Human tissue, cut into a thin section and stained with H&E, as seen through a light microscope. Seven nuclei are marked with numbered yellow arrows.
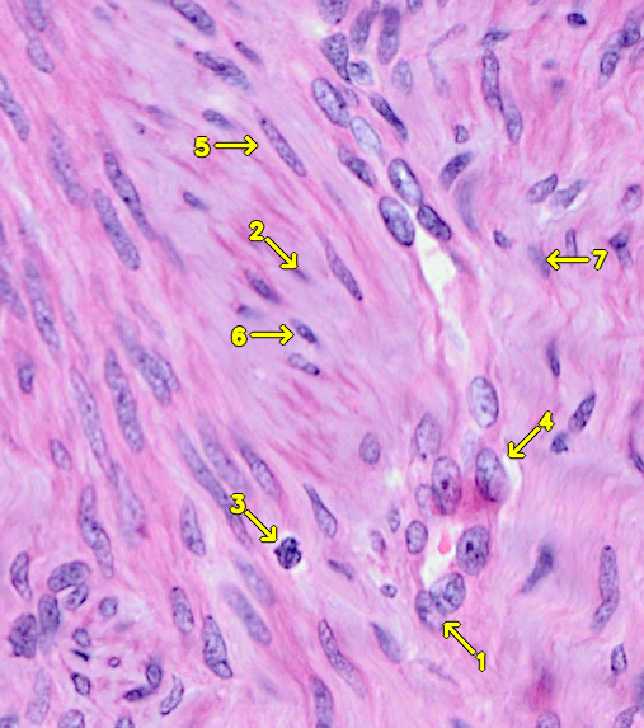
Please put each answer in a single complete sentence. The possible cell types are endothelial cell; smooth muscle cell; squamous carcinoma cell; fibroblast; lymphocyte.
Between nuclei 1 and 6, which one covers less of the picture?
The smaller nucleus is 6, and 1 covers roughly 3 times its area.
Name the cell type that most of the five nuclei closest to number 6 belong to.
Smooth muscle cells account for more than half of the five nuclei nearest to number 6.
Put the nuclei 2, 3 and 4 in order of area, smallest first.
The order from the smallest nucleus to the largest is 2, 3, 4.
